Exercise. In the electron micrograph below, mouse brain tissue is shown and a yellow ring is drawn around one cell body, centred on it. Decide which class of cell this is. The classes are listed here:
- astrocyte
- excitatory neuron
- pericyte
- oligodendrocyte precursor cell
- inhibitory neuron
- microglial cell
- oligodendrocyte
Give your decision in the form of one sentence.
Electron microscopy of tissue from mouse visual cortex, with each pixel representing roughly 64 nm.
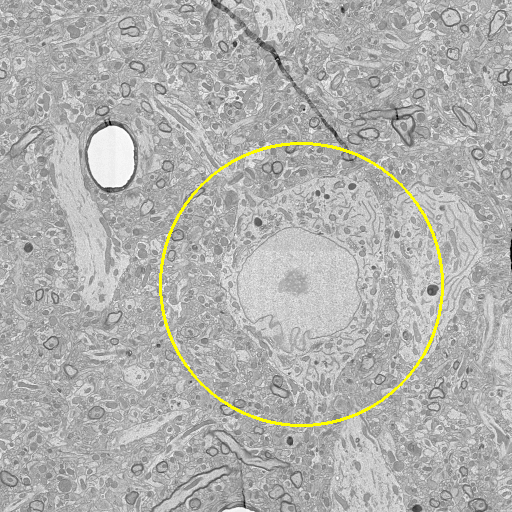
The cell body marked by the ring belongs to an inhibitory neuron.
